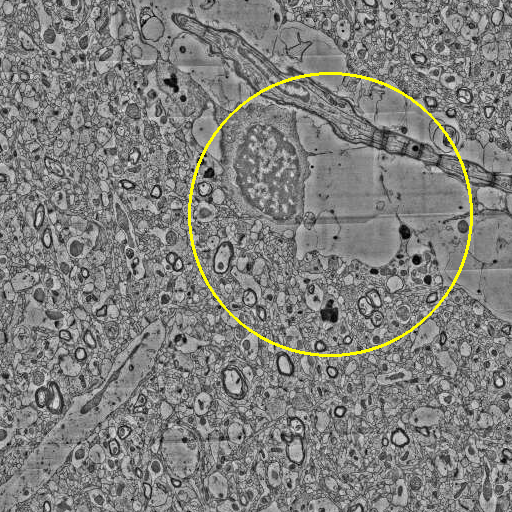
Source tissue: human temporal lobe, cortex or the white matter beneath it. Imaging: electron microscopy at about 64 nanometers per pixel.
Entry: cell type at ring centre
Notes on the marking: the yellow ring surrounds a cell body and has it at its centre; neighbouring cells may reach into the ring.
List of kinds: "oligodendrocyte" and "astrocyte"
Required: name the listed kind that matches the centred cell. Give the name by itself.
oligodendrocyte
